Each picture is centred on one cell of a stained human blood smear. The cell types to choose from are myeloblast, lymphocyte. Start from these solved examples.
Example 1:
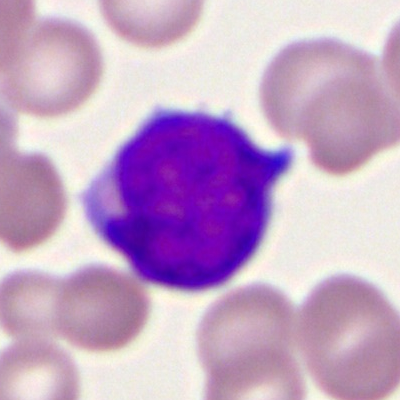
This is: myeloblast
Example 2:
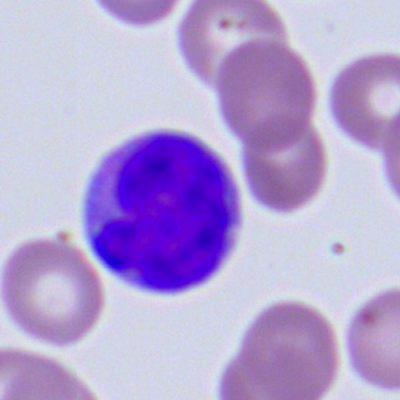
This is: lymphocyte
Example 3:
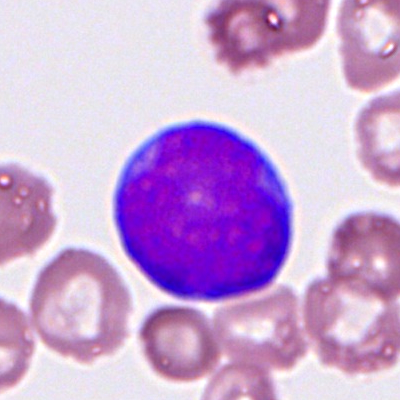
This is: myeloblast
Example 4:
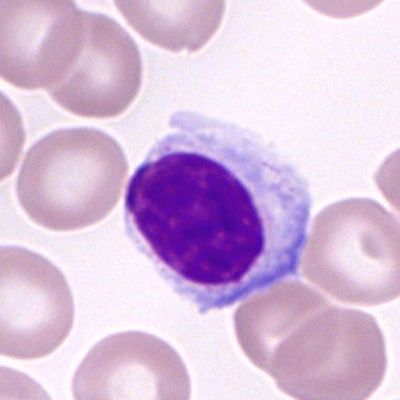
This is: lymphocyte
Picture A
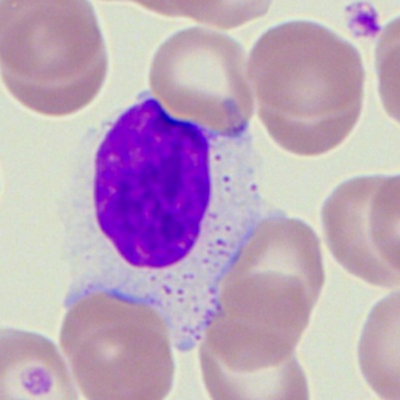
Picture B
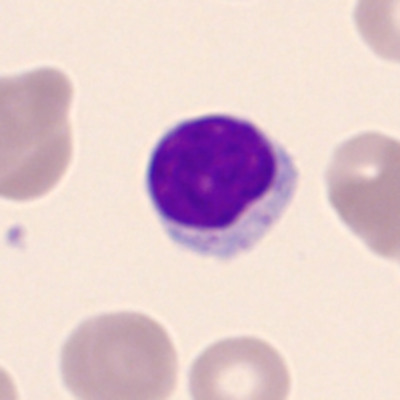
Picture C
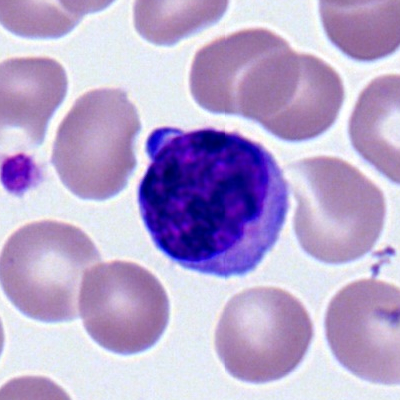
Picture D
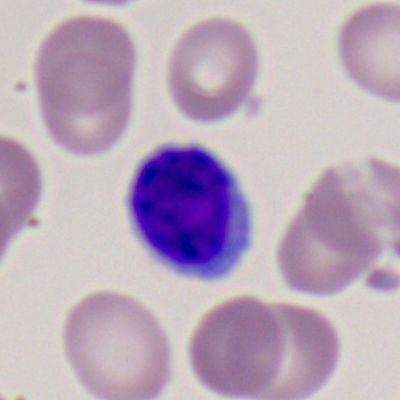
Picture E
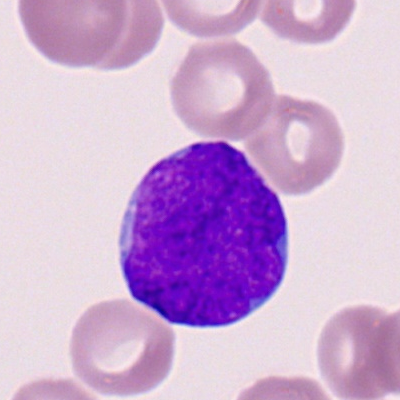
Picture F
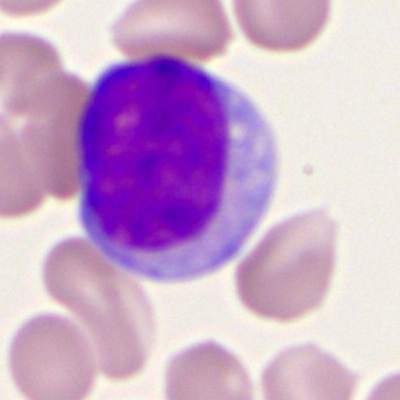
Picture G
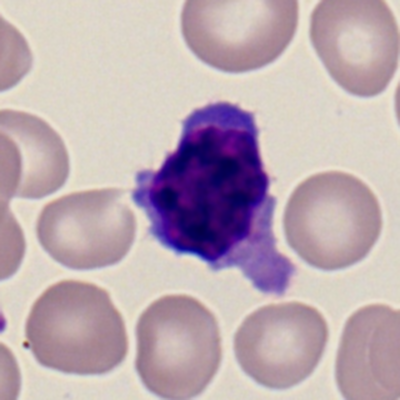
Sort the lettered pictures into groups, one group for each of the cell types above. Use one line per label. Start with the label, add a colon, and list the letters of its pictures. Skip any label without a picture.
myeloblast: E, F
lymphocyte: A, B, C, D, G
